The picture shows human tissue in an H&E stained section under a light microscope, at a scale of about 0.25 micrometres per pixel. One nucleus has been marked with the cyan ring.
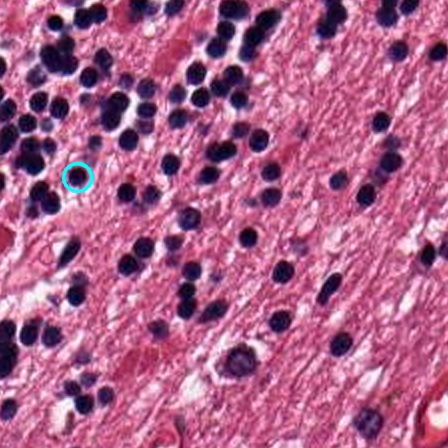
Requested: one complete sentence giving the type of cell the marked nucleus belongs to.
Part of a cerebellar granule cell is the marked nucleus.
